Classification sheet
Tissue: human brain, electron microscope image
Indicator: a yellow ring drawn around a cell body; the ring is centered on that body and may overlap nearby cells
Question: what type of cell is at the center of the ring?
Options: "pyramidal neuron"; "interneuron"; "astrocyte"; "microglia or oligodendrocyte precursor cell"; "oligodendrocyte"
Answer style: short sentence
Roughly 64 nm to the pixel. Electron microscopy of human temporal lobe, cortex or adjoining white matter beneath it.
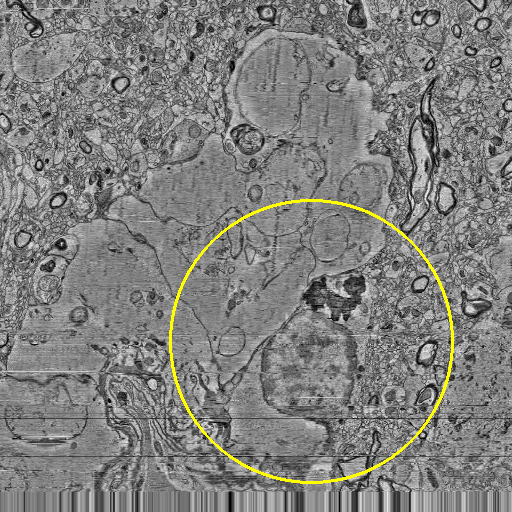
At the ring's center is an oligodendrocyte.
